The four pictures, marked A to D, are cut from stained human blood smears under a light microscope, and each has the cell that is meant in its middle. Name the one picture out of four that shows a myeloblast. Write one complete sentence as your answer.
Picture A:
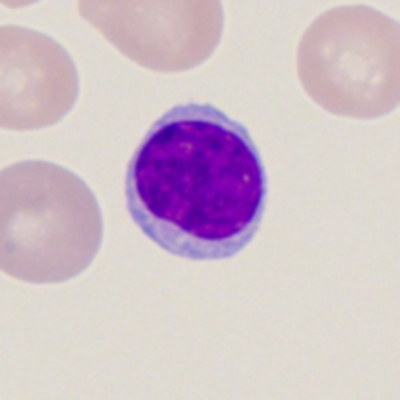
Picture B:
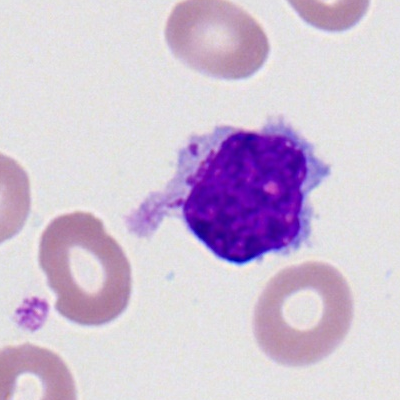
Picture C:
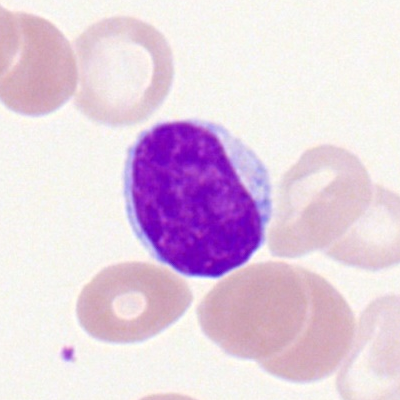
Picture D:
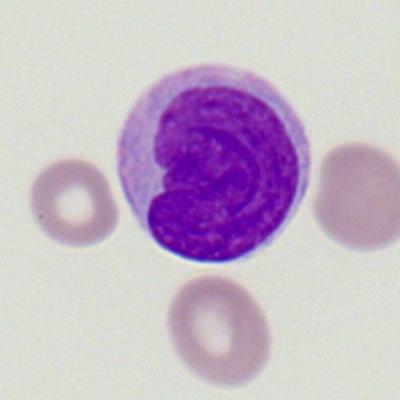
The myeloblast is the one in picture D.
